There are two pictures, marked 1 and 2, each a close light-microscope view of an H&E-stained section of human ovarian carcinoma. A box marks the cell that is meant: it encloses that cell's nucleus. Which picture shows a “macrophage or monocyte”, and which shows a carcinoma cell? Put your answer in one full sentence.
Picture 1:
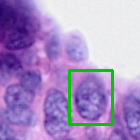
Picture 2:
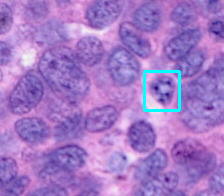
In picture 1 the cell is a carcinoma cell; in picture 2, a “macrophage or monocyte”.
